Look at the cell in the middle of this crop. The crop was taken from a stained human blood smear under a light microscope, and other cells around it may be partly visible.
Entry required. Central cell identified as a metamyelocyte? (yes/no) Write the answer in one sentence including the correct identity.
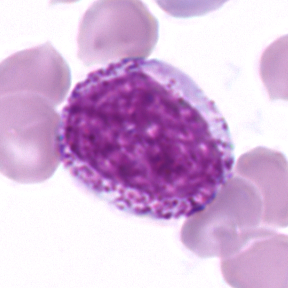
No, at the centre of this crop is found a myelocyte instead of a metamyelocyte.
